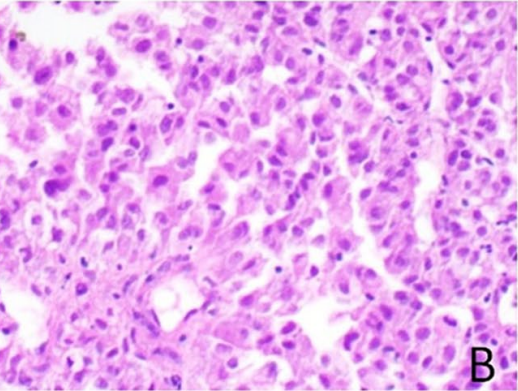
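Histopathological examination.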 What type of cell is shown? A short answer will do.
Polygonal cells.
